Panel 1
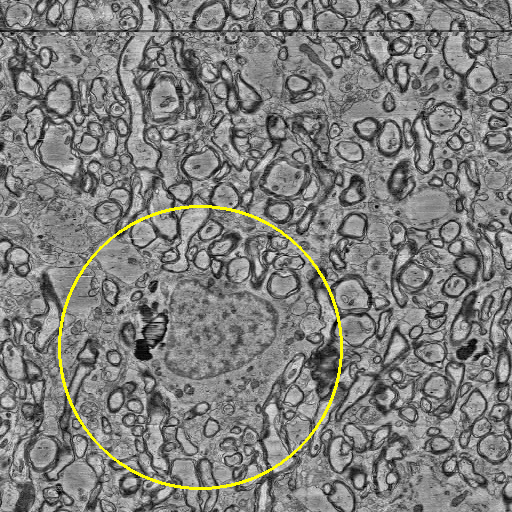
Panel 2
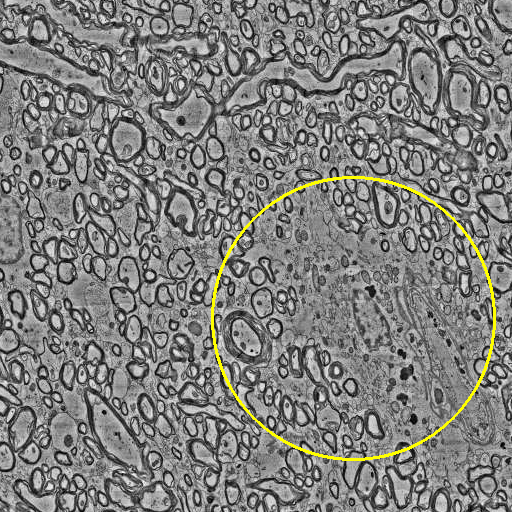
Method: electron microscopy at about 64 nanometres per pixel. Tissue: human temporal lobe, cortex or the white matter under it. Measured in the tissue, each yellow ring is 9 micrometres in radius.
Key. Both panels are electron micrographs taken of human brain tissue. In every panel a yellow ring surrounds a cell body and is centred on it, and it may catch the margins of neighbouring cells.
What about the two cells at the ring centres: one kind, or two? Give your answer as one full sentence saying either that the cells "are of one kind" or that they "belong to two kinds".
Across Panels 1 and 2, the two cells at the ring centres belong to two kinds.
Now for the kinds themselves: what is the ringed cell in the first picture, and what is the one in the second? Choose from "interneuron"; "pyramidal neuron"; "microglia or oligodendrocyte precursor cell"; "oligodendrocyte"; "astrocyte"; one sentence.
Here the first cell is an oligodendrocyte and the second cell is an astrocyte.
